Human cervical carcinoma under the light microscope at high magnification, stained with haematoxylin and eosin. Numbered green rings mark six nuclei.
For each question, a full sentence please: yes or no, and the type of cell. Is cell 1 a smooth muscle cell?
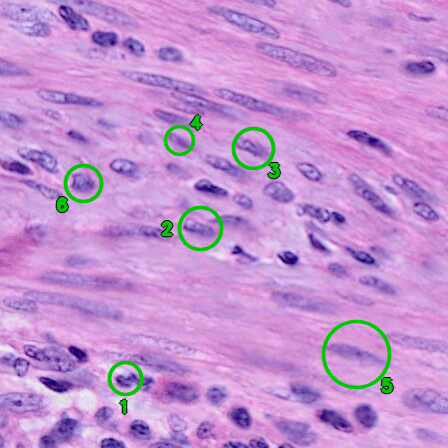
No, the cell given the number 1 is a lymphocyte, so not a smooth muscle cell.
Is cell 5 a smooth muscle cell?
No, cell 5 does not represent a smooth muscle cell; it represents a fibroblast.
